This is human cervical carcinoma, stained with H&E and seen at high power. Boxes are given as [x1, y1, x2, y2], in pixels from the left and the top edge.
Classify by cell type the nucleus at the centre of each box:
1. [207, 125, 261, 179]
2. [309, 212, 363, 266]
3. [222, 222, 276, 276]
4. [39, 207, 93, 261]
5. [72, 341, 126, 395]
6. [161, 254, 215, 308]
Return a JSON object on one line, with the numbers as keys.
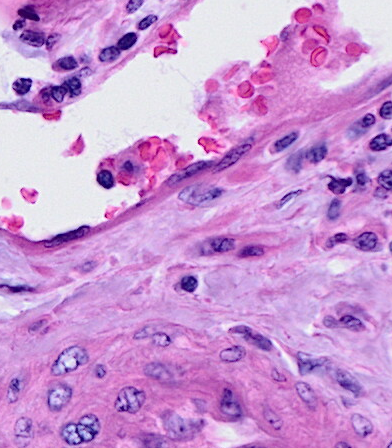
{"1": "endothelial cell", "2": "macrophage or monocyte", "3": "smooth muscle cell", "4": "endothelial cell", "5": "smooth muscle cell", "6": "lymphocyte"}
